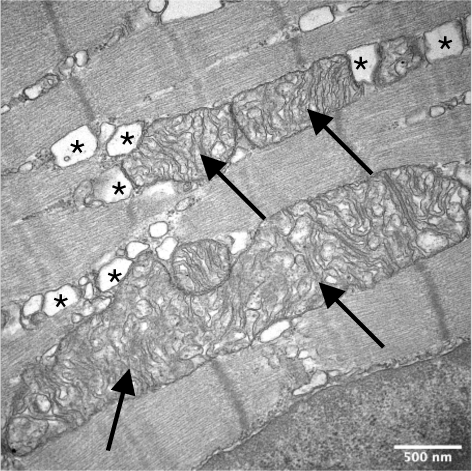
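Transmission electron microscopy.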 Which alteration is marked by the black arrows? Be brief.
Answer: Abnormal mitochondrial morphology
